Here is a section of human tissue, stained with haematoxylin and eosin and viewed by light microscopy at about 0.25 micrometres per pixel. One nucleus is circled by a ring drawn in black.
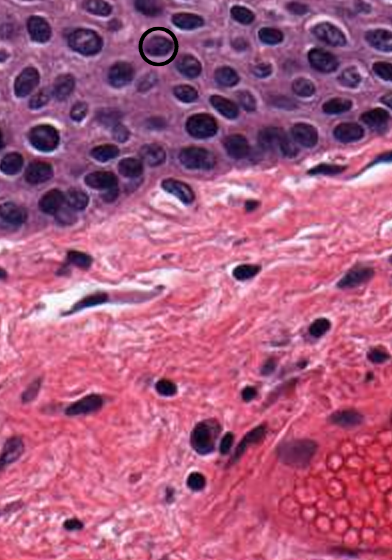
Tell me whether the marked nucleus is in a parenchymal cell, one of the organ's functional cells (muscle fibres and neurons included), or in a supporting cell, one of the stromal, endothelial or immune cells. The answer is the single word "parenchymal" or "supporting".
parenchymal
